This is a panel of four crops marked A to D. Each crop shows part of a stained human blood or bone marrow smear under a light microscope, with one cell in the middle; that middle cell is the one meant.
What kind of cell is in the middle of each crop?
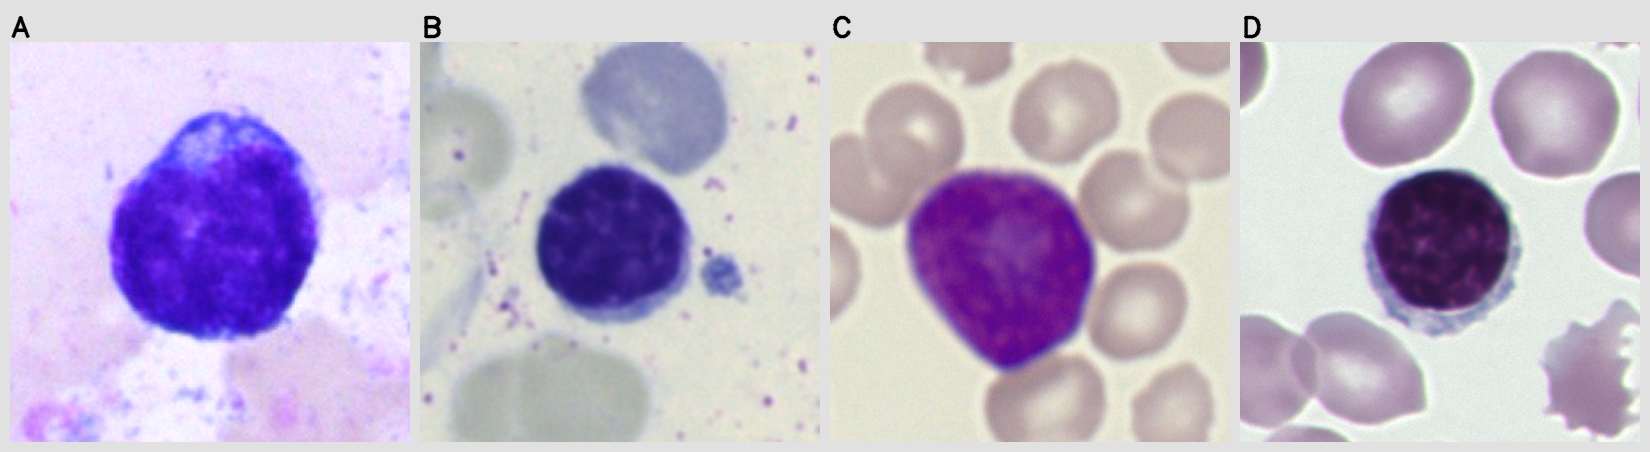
A: blast
B: lymphocyte
C: blast
D: lymphocyte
